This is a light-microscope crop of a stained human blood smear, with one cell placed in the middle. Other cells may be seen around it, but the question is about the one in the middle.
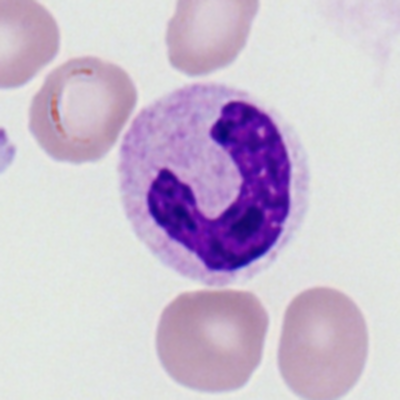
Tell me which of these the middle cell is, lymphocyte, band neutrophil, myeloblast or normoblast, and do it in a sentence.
The cell featured at the centre of this crop is a band neutrophil.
